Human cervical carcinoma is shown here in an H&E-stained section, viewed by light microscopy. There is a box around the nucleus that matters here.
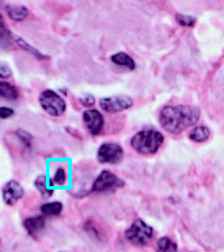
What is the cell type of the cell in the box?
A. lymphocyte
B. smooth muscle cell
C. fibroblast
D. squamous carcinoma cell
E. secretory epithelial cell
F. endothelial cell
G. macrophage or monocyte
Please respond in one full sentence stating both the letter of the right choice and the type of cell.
Option A gets it right, as the cell in the box is a lymphocyte.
